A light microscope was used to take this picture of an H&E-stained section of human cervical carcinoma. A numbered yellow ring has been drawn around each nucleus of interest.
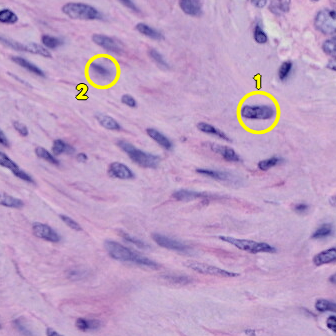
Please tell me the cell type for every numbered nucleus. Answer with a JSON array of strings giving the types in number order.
["fibroblast", "smooth muscle cell"]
